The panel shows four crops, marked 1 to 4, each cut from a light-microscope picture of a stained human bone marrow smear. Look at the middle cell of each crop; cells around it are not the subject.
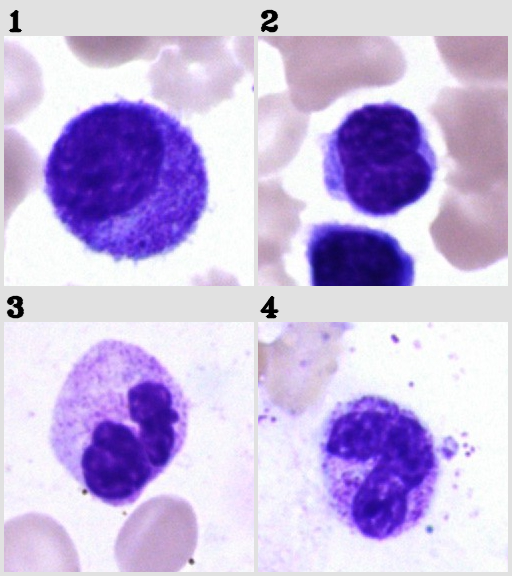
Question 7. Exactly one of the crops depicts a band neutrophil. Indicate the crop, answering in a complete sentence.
The crop marked 4 is the one that shows a band neutrophil.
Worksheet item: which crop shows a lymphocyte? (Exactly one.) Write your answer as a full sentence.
Crop 2 is the one to choose: it shows a lymphocyte.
